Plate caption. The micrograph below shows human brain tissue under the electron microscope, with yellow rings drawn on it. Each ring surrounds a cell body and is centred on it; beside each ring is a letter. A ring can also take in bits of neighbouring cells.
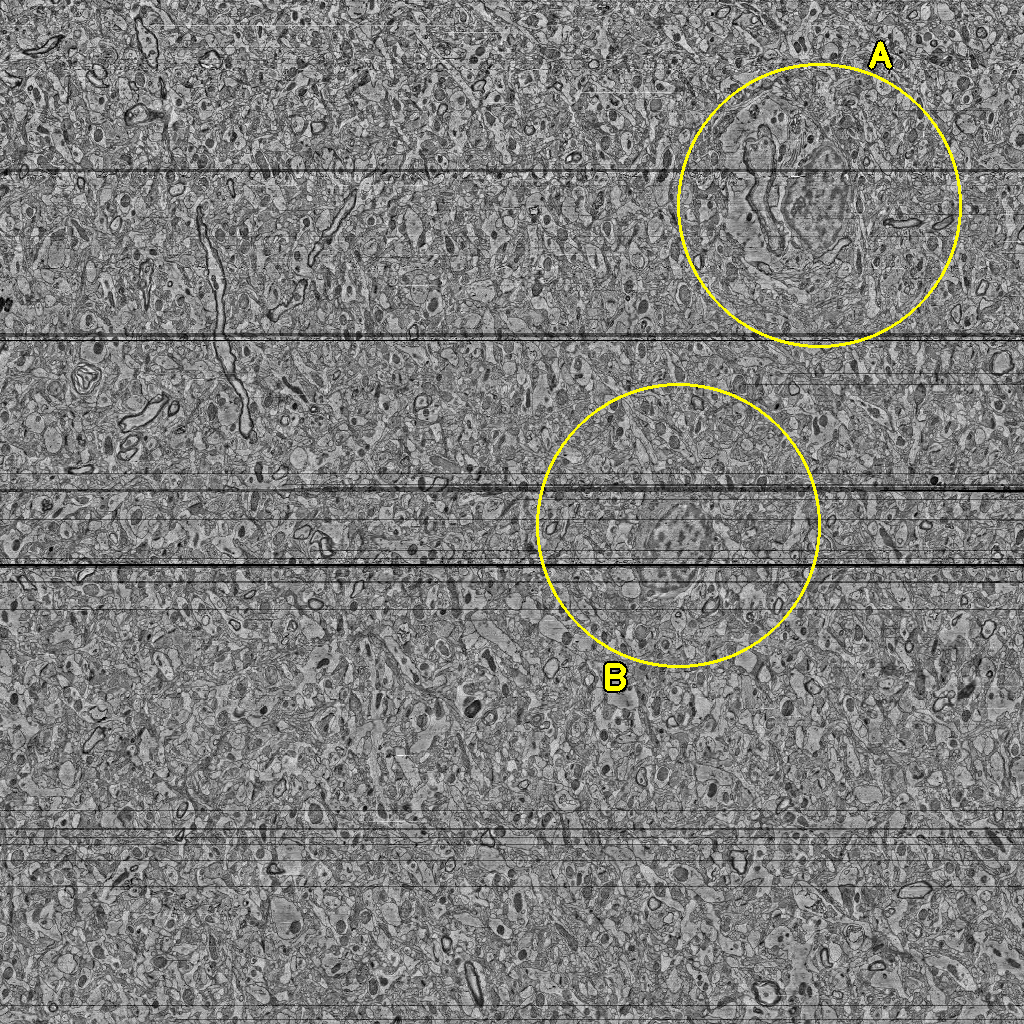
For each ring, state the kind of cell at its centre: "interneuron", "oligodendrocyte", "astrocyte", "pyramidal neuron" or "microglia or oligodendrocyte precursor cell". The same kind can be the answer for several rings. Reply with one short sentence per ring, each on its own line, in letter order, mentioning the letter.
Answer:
Ring A is drawn around an oligodendrocyte.
Ring B is drawn around an oligodendrocyte.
